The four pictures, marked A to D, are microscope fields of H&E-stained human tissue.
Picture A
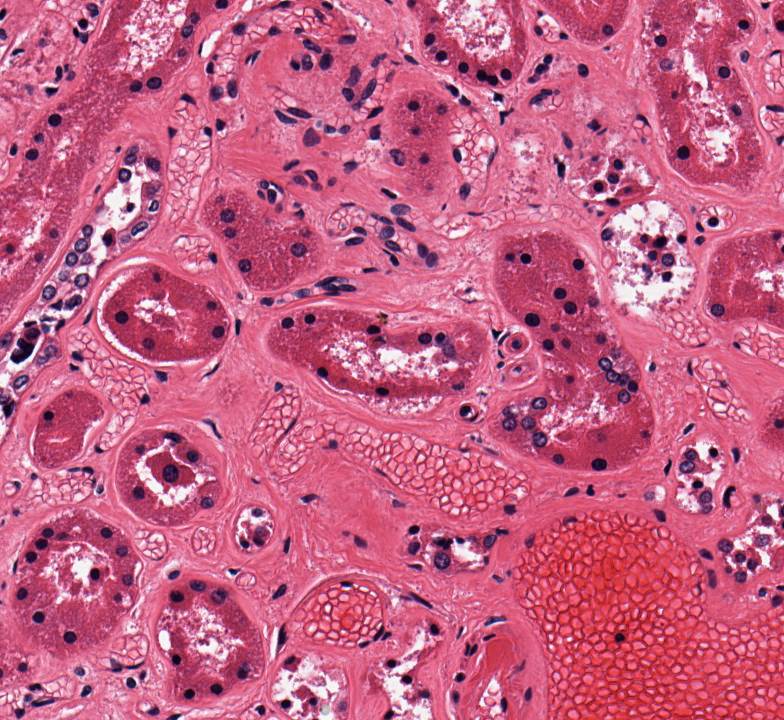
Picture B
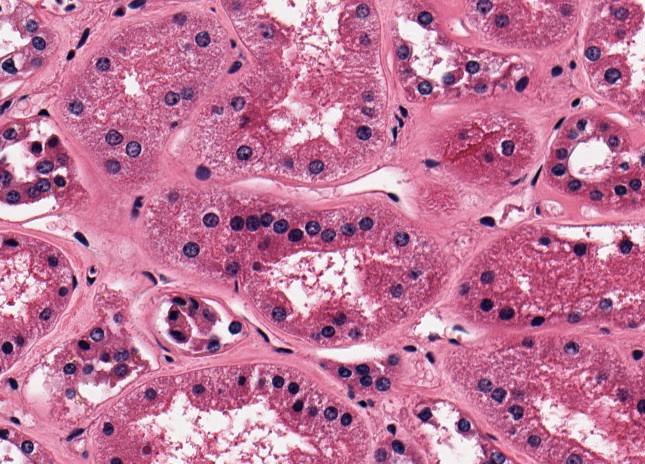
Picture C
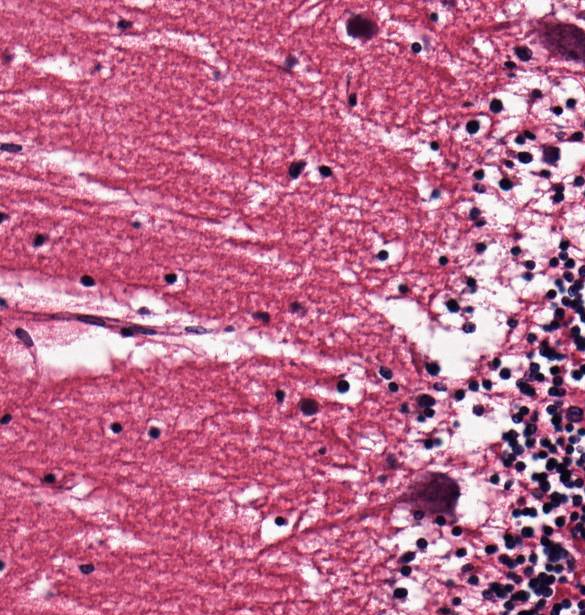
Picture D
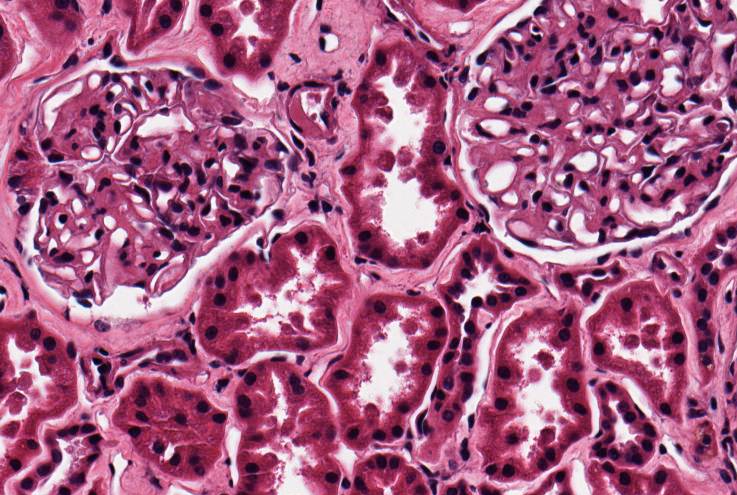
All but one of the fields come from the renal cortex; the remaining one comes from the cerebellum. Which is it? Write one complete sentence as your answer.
It is picture C that comes from the cerebellum.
